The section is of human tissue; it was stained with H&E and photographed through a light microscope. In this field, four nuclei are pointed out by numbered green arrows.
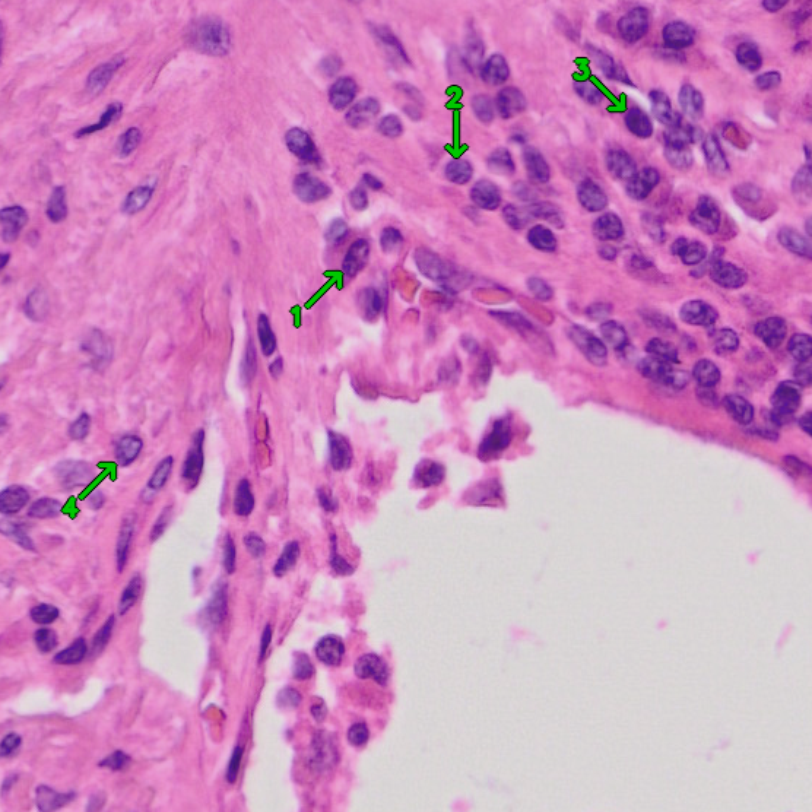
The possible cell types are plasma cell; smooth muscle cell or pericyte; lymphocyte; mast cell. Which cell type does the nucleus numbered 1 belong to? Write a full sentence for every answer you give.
Regarding cell 1, this one is a plasma cell.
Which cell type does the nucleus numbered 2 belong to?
In this section, the cell numbered 2 is a lymphocyte.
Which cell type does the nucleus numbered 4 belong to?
The cell identified by number 4 is a mast cell.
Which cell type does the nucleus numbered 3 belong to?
The nucleus labelled 3 belongs to a plasma cell.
